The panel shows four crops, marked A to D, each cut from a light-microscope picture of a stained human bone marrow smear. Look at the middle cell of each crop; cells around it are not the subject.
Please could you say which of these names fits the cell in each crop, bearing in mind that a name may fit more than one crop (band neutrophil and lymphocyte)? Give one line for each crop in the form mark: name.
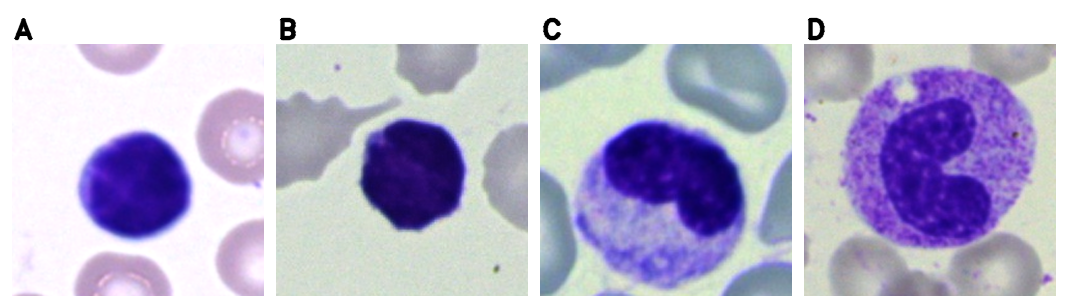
A: lymphocyte
B: lymphocyte
C: band neutrophil
D: band neutrophil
